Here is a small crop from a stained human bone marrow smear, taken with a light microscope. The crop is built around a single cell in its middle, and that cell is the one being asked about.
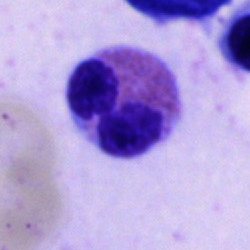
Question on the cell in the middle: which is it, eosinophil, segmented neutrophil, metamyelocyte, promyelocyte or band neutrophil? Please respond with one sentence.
The cell that lies at the centre of the crop is an eosinophil.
